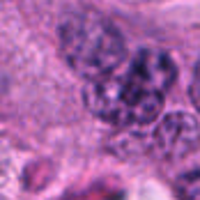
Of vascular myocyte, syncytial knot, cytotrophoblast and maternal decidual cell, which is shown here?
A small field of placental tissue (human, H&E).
cytotrophoblast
